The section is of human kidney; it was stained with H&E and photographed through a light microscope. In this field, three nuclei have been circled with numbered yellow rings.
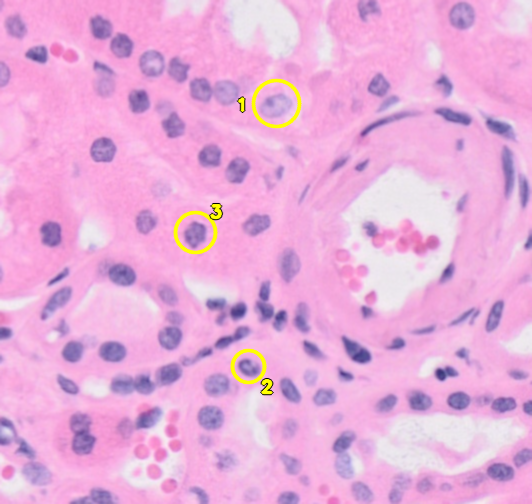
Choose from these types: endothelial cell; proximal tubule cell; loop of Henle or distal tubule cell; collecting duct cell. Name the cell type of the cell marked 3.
proximal tubule cell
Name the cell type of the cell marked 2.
collecting duct cell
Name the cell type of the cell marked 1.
proximal tubule cell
